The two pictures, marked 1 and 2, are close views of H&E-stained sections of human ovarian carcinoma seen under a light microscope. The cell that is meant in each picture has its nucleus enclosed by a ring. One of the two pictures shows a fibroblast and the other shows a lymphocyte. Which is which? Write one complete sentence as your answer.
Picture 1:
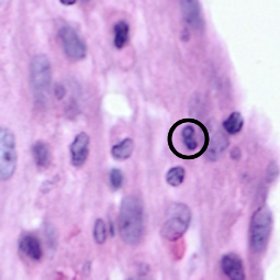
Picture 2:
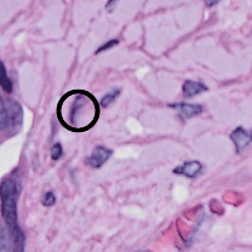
Picture 1 is of a lymphocyte, and picture 2 is of a fibroblast.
